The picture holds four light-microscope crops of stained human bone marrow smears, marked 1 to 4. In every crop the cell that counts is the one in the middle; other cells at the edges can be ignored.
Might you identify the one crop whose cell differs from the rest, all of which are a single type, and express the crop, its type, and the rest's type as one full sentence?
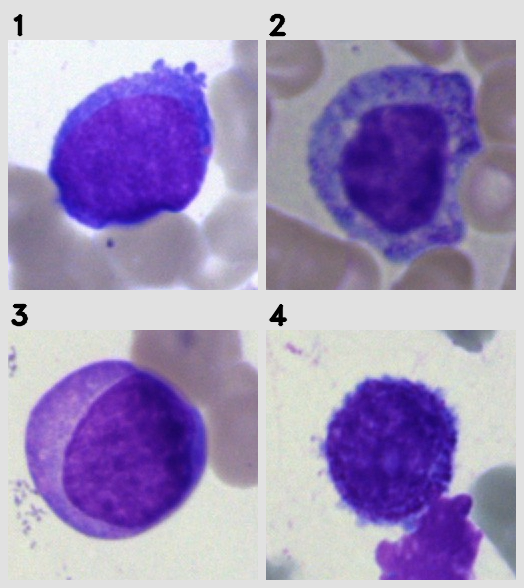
The crop that differs is crop 2, showing a myelocyte; the others show blasts.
